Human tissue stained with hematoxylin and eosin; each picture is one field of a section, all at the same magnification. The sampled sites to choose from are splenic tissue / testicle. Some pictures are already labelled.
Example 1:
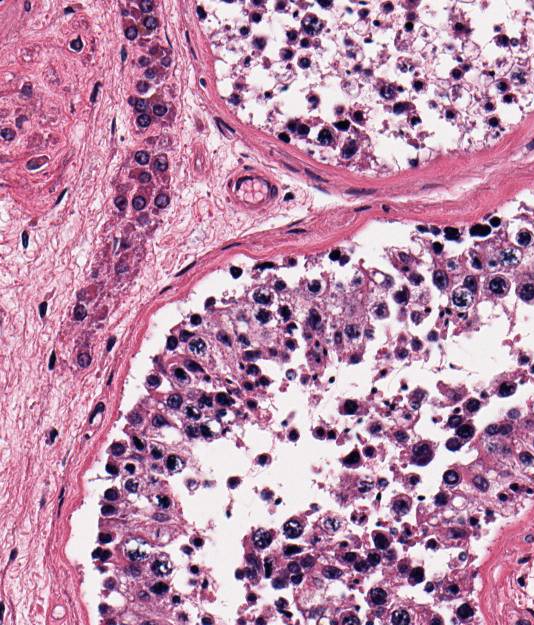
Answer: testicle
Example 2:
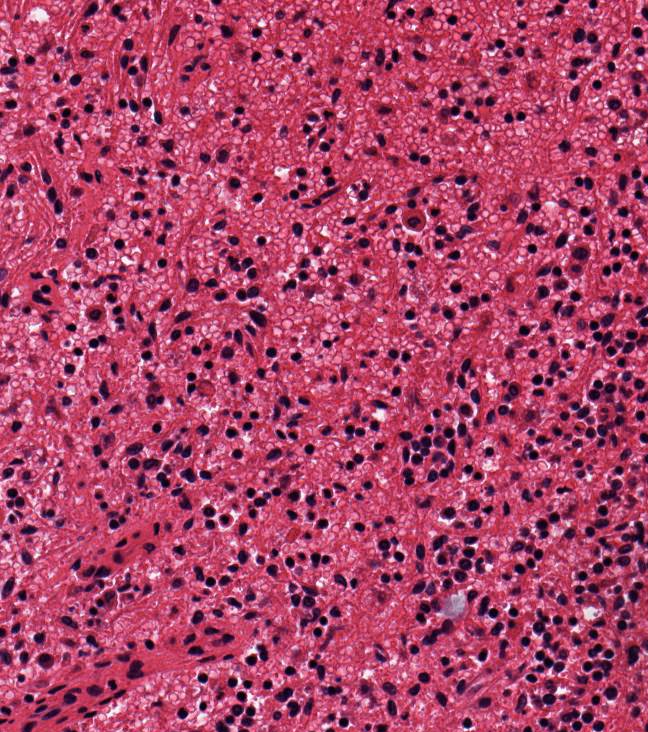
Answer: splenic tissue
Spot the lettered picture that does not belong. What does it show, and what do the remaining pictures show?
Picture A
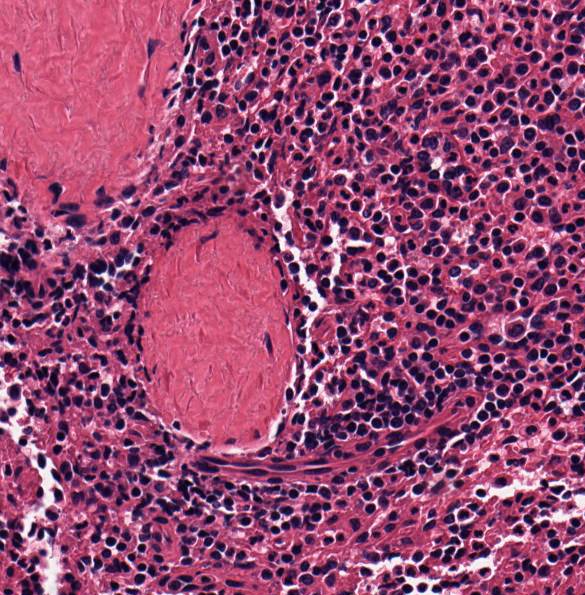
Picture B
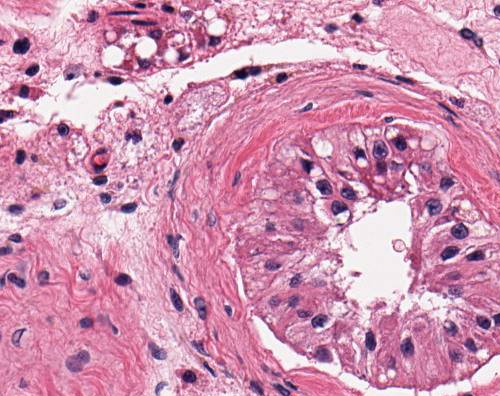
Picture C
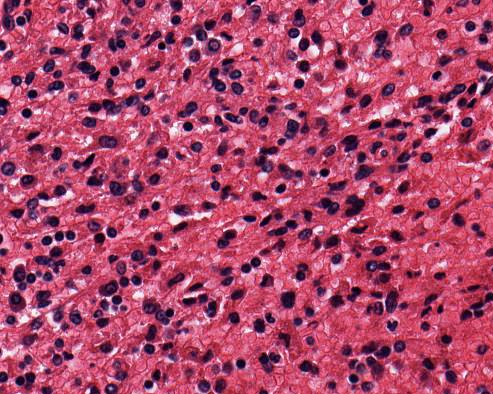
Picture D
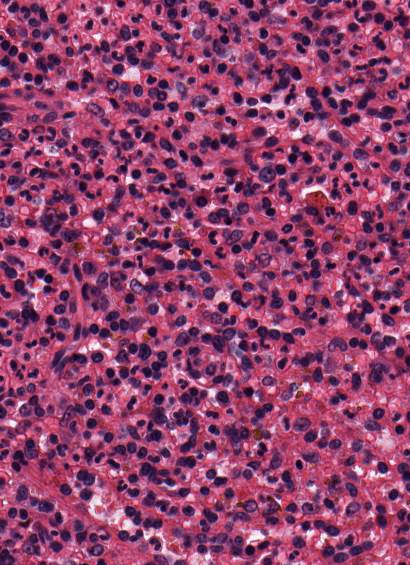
Different: B, testicle. Others: splenic tissue.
